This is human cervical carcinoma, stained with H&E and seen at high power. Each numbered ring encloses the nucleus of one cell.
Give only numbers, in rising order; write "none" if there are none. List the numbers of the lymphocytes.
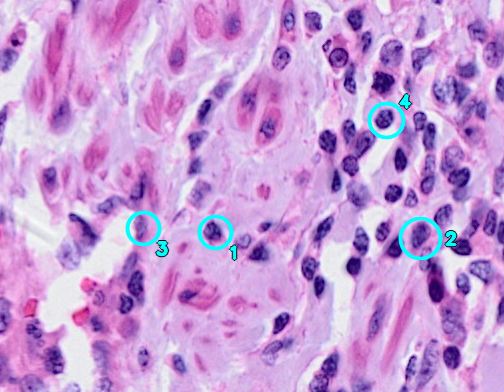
1, 2, 4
